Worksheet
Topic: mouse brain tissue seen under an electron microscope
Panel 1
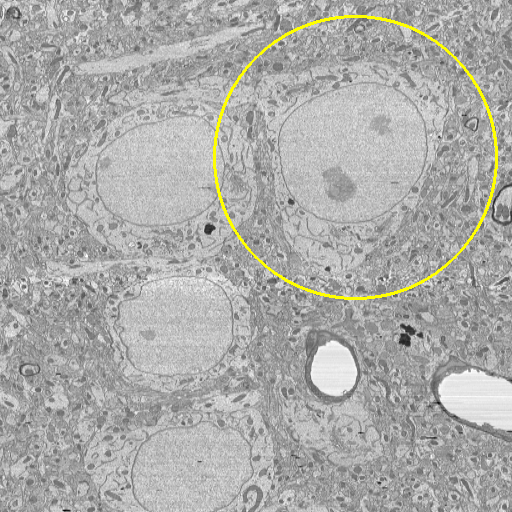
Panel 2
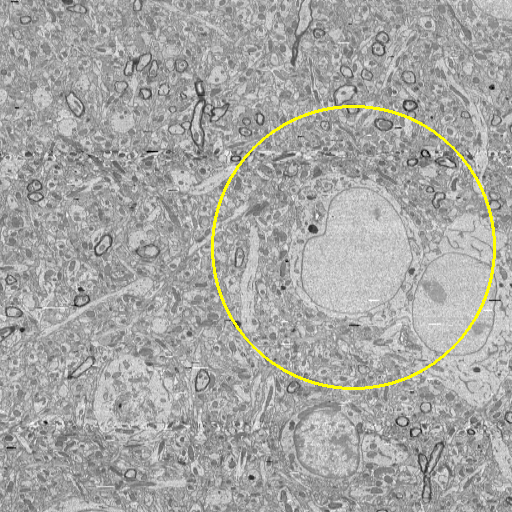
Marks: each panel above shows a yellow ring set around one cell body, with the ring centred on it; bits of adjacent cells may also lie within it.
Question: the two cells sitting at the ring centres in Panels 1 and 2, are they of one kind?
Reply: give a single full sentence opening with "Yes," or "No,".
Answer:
Yes, the two ring-centre cells in Panel 1 and Panel 2 are of one kind.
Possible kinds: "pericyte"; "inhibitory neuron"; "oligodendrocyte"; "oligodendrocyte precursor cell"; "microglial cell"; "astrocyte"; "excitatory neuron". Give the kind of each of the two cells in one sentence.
The cell at the ring centre is an excitatory neuron in both pictures.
